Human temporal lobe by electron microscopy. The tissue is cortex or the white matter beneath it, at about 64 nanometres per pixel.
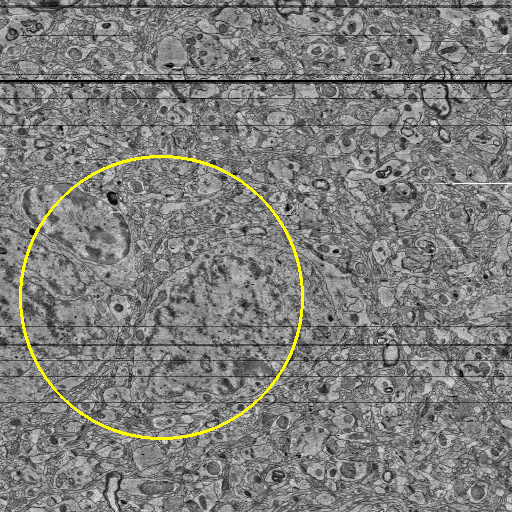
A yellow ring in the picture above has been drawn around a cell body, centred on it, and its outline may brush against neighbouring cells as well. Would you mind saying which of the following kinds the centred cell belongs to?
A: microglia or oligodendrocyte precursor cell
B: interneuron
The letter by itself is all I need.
B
